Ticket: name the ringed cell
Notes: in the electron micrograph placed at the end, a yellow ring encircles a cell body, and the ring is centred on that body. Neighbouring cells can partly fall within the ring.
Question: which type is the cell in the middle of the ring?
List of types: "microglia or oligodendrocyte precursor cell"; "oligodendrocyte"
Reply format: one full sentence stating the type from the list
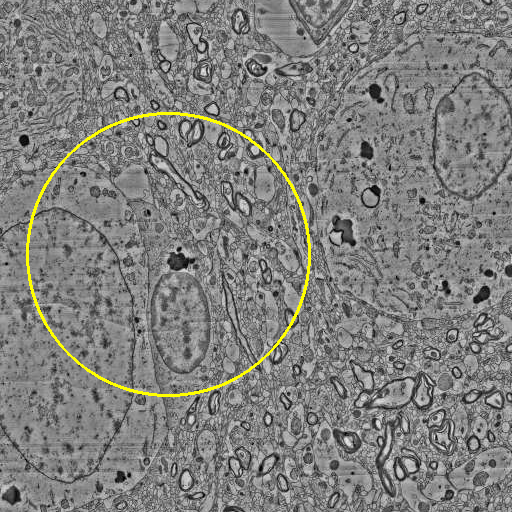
The cell sitting at the centre of the yellow ring is an oligodendrocyte.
